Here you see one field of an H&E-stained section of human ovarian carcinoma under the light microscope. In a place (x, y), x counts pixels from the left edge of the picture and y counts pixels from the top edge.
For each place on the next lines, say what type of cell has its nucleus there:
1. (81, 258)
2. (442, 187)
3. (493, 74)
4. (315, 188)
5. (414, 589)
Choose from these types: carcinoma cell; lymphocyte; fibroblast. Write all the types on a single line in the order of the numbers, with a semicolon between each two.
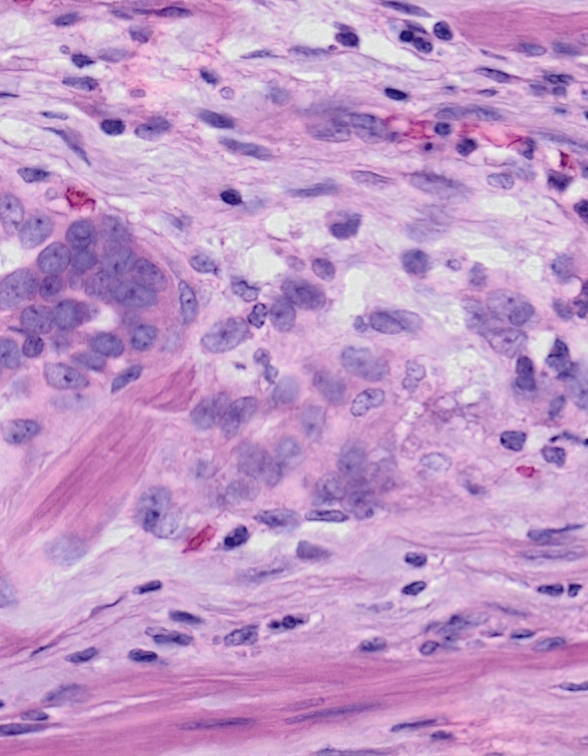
carcinoma cell; fibroblast; fibroblast; fibroblast; lymphocyte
